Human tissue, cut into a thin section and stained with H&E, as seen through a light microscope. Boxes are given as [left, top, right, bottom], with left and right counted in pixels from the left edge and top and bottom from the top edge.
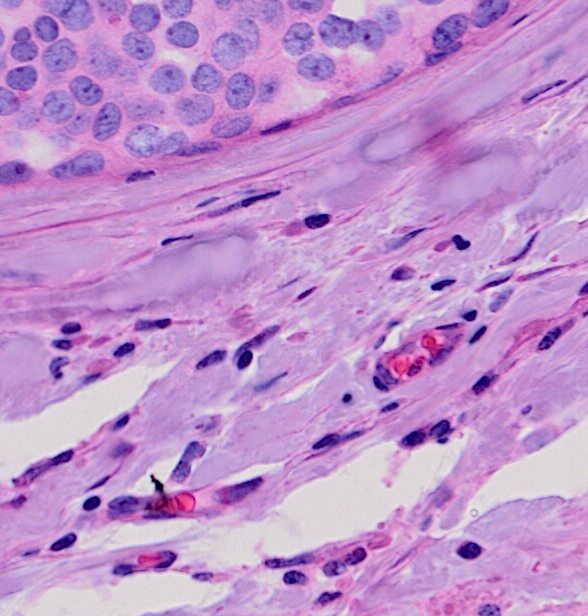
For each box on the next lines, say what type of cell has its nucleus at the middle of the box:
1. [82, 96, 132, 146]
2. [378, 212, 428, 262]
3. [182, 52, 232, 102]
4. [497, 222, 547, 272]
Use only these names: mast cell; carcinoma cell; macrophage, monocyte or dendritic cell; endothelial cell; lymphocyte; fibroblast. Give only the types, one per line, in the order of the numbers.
carcinoma cell
fibroblast
carcinoma cell
fibroblast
